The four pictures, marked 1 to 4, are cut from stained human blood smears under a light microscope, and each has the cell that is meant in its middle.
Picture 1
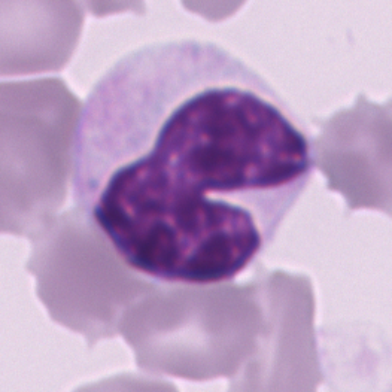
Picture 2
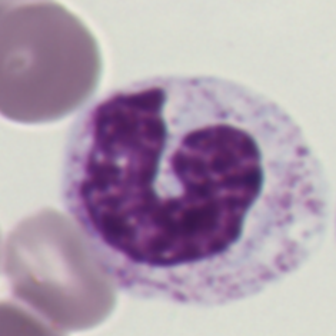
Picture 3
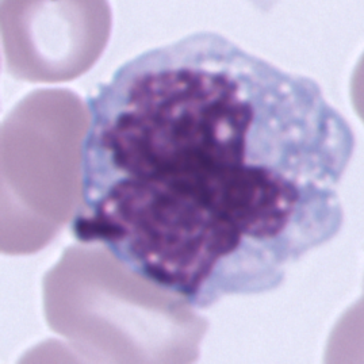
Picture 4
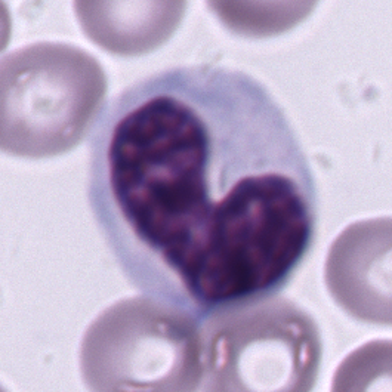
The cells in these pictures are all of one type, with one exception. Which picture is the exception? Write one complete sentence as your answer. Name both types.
The different one is picture 3; it shows a monocyte, whereas all the others show band neutrophils.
